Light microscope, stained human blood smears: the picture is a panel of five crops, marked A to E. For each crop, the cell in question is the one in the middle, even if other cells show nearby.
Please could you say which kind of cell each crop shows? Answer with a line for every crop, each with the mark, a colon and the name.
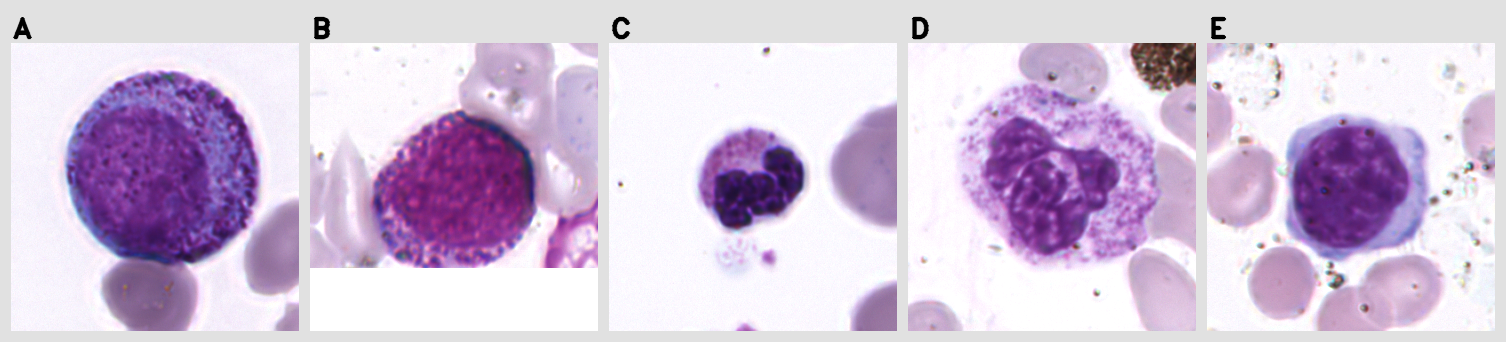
A: promyelocyte
B: myelocyte
C: eosinophil
D: segmented neutrophil
E: plasma cell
